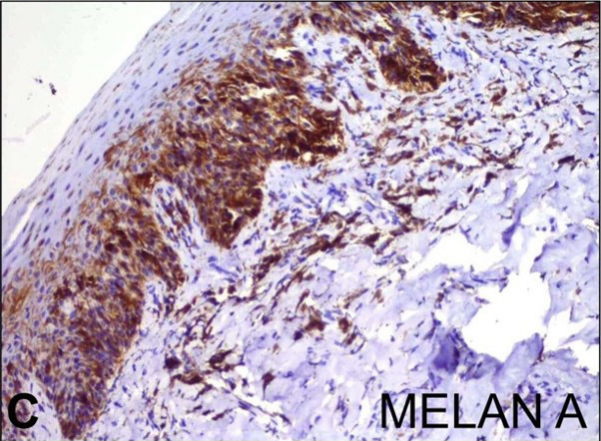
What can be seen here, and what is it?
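Brown-stained tumor melanocytic cells fill the lower half of a stratified squamous epithelium, forming dense bands along the rete ridges while the upper layers stay blue. Many stained spindle-shaped cells also lie scattered through the loose connective tissue just below the epithelium.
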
